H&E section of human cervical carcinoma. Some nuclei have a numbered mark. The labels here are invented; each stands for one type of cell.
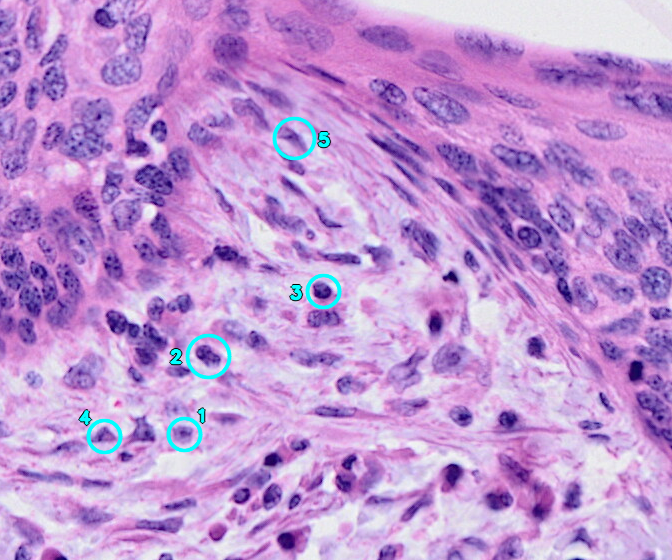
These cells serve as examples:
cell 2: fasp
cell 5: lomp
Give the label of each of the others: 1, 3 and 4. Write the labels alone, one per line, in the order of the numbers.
lomp
fasp
lomp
